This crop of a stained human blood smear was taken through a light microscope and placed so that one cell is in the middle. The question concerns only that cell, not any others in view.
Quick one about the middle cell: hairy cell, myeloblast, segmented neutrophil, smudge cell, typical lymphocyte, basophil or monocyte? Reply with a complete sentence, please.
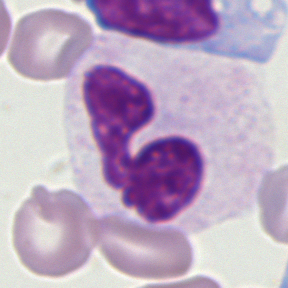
For this crop, the central cell is a segmented neutrophil.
